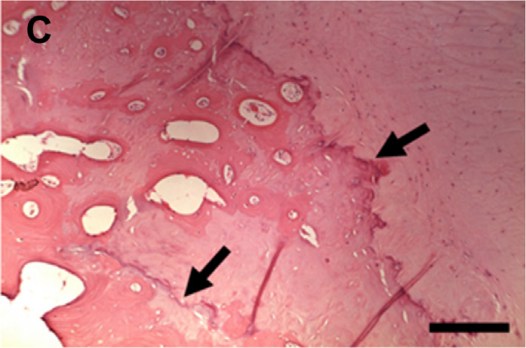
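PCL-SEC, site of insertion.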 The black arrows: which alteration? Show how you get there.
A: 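Tide mark reduplication. The arrows point to irregular dark purple lines at the border between bone and the paler fibrous zone.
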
